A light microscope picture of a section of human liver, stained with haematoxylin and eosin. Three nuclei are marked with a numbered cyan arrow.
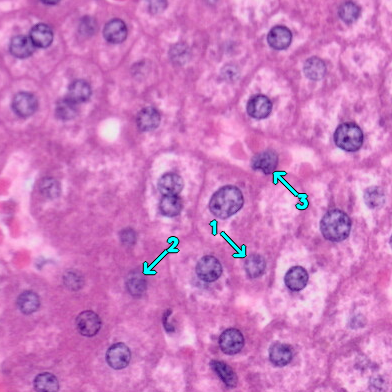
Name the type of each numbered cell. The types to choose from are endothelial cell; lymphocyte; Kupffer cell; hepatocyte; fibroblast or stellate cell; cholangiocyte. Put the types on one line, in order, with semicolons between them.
hepatocyte; hepatocyte; endothelial cell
